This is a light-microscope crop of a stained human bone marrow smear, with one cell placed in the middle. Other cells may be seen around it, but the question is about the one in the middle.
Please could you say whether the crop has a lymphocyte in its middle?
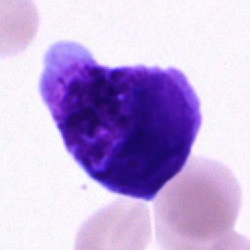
no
